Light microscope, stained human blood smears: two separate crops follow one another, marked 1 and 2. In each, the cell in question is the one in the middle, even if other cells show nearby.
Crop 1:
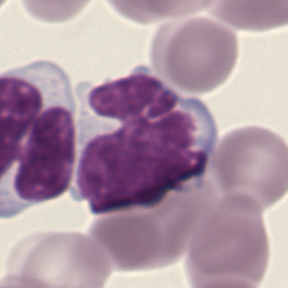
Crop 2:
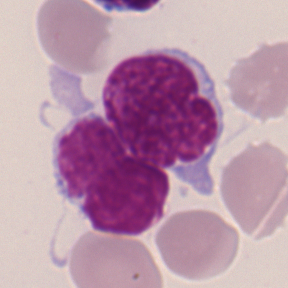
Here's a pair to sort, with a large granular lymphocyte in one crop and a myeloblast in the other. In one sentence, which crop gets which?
While crop 1 is a large granular lymphocyte, crop 2 is a myeloblast.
